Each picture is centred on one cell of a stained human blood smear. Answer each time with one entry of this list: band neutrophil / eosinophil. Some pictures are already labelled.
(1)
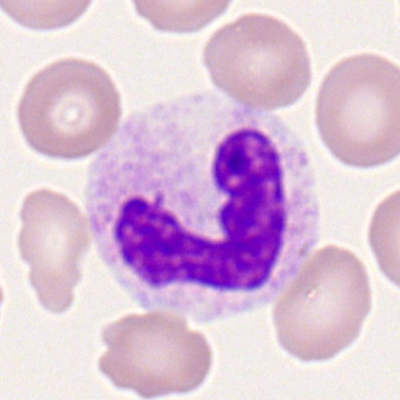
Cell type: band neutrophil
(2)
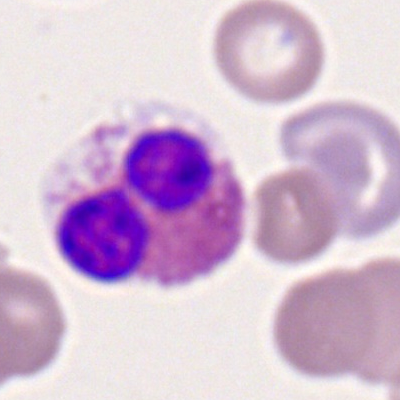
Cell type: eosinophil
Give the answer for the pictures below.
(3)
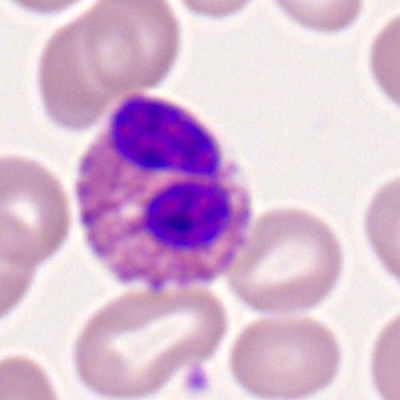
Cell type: eosinophil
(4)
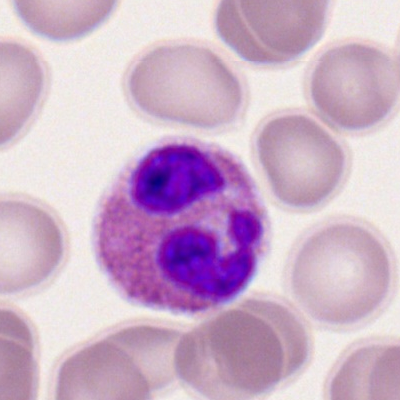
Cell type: eosinophil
